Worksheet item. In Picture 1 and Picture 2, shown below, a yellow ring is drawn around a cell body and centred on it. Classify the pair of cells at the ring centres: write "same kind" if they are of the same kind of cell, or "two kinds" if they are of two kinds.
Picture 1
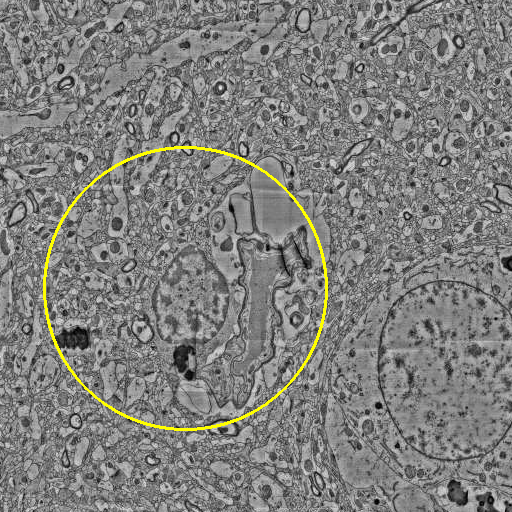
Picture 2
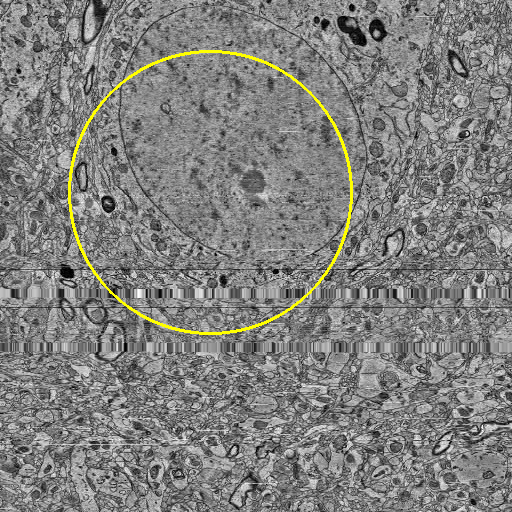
two kinds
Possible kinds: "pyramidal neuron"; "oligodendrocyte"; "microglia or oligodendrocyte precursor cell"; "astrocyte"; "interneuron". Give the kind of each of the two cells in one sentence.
The cell in the second picture is a pyramidal neuron, and that in the first is an oligodendrocyte.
